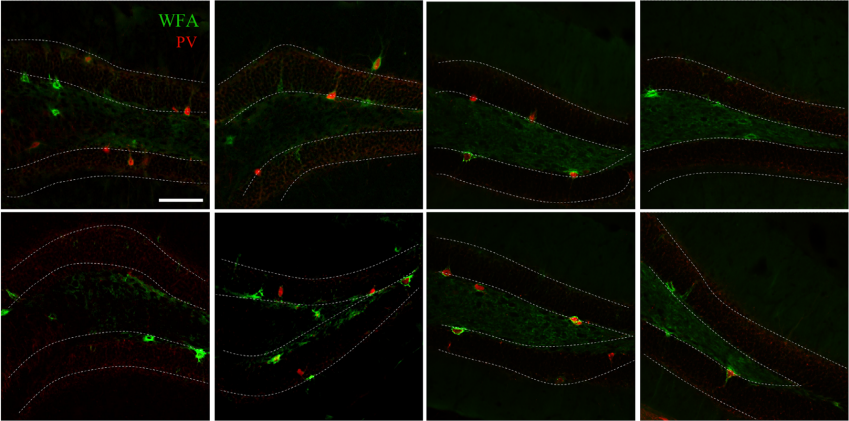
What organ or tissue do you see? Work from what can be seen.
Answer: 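The images show curved, narrow cell layers running in parallel bands. Scattered single labelled cell bodies lie along the border of the banded layer.
Hence: hippocampal dentate gyrus.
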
